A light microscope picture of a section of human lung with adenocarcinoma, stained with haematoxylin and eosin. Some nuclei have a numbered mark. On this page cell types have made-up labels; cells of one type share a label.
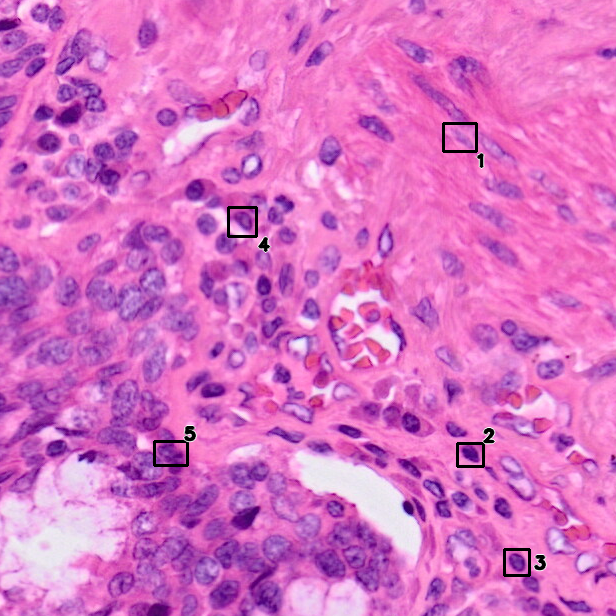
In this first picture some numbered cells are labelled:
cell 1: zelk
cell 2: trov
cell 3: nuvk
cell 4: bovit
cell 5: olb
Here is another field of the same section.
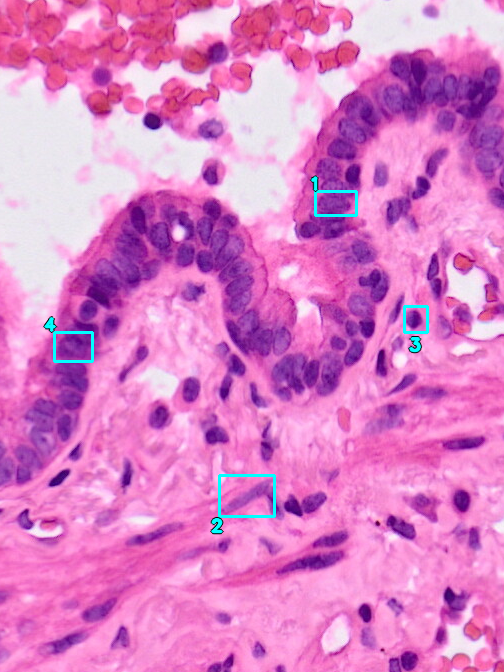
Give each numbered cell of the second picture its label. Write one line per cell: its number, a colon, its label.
1: olb
2: zelk
3: trov
4: olb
